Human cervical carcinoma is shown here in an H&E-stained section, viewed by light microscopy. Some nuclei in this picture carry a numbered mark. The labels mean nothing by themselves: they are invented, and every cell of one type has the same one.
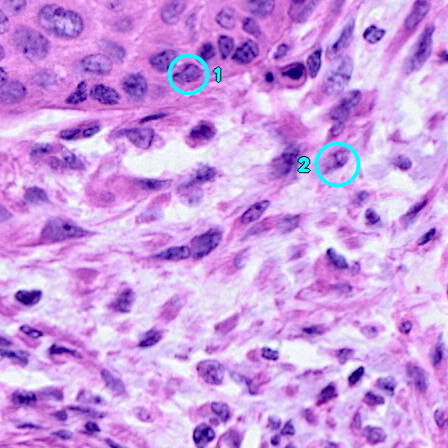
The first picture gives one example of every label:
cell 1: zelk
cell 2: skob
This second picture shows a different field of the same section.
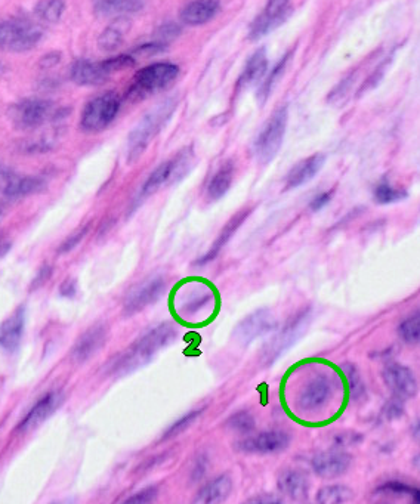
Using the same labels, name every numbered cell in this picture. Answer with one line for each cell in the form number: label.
1: zelk
2: skob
